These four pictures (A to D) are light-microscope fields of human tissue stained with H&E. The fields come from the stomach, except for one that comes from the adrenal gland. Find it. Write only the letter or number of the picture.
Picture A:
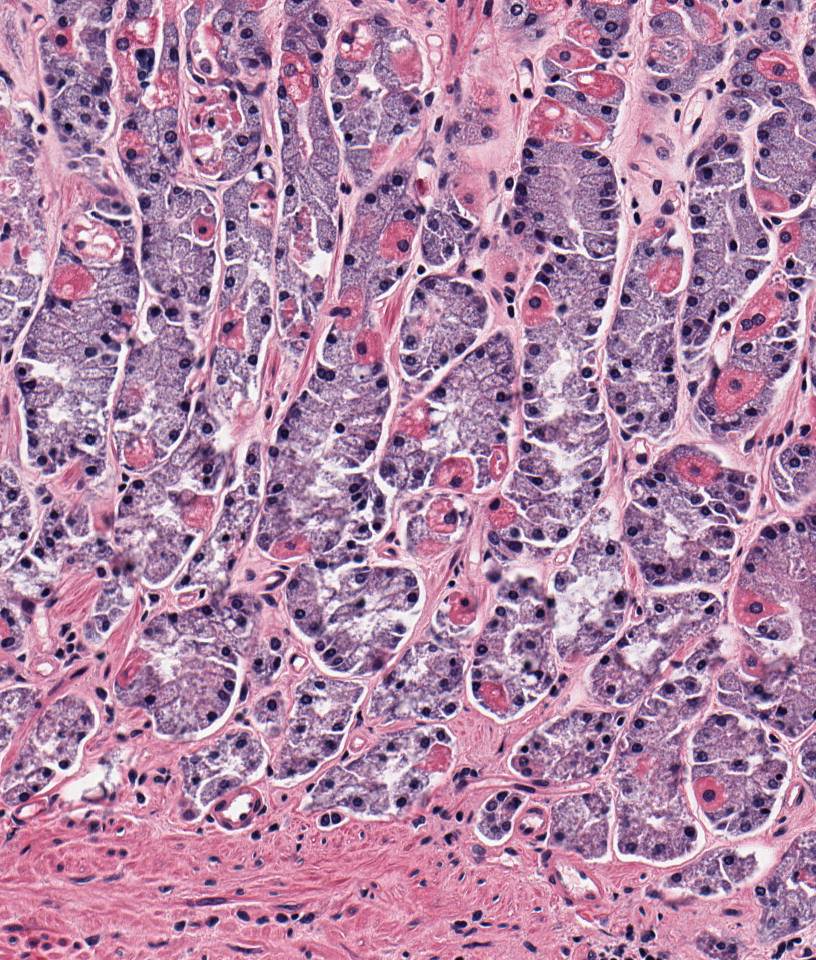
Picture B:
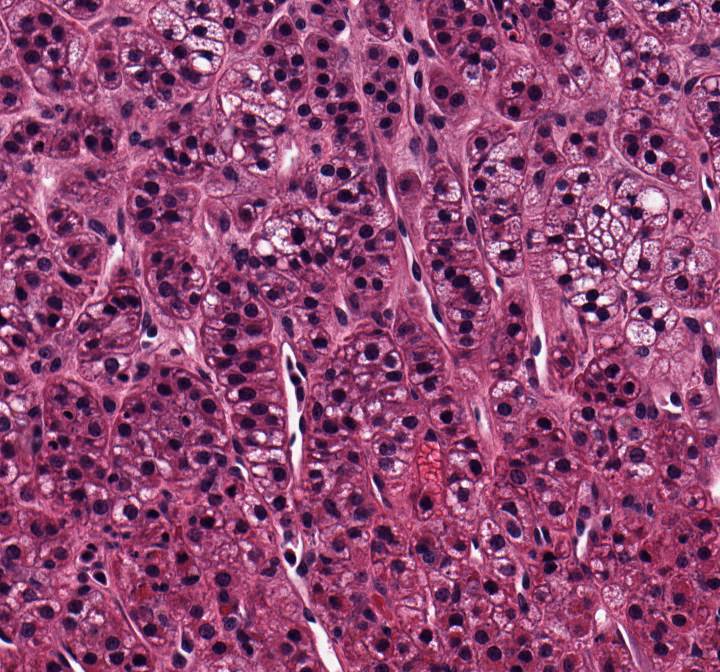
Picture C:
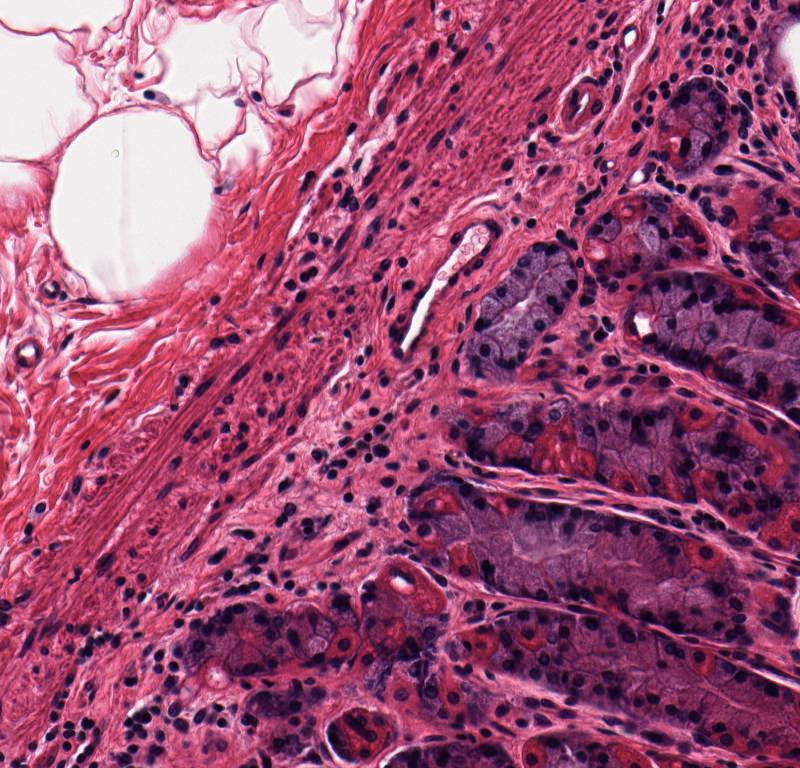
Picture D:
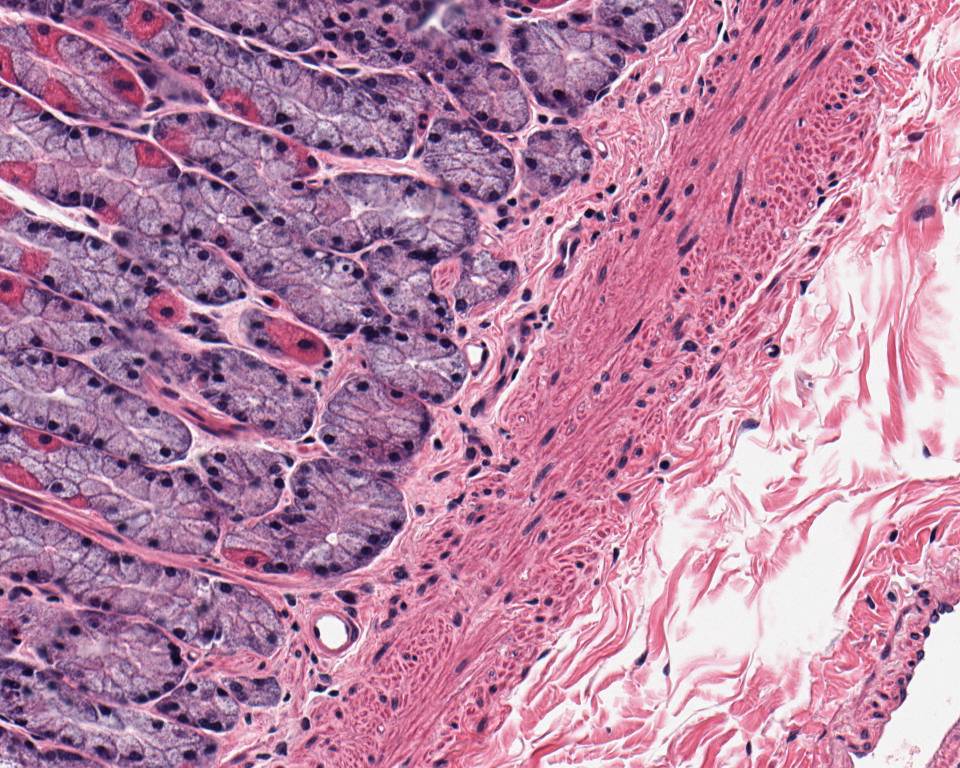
B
